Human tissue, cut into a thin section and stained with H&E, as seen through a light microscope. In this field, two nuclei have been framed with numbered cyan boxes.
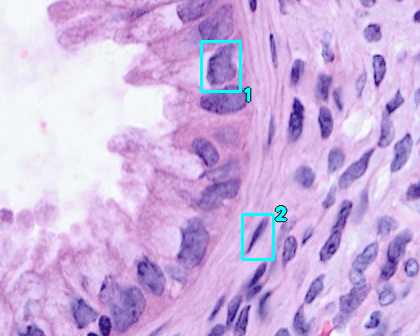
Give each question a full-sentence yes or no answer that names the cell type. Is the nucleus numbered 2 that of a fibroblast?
Yes, the cell with its nucleus marked 2 is a fibroblast.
